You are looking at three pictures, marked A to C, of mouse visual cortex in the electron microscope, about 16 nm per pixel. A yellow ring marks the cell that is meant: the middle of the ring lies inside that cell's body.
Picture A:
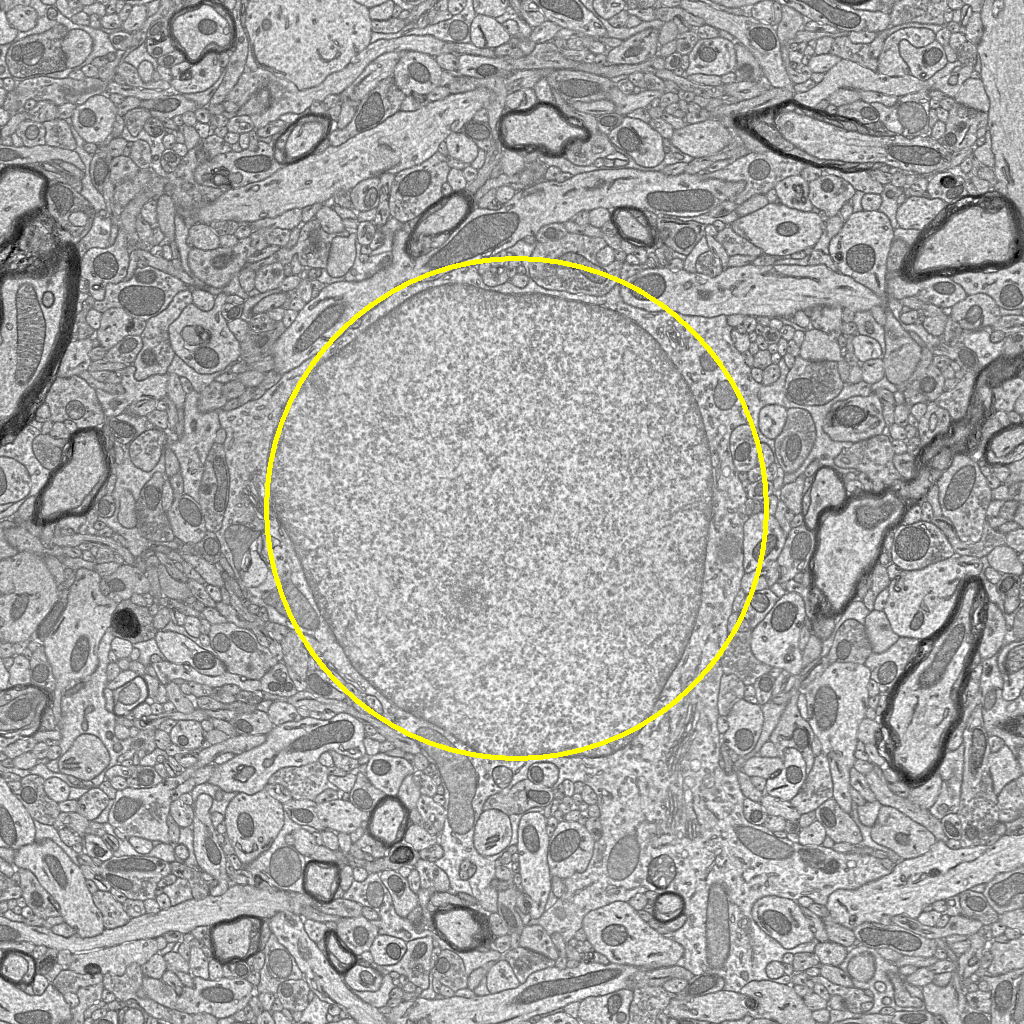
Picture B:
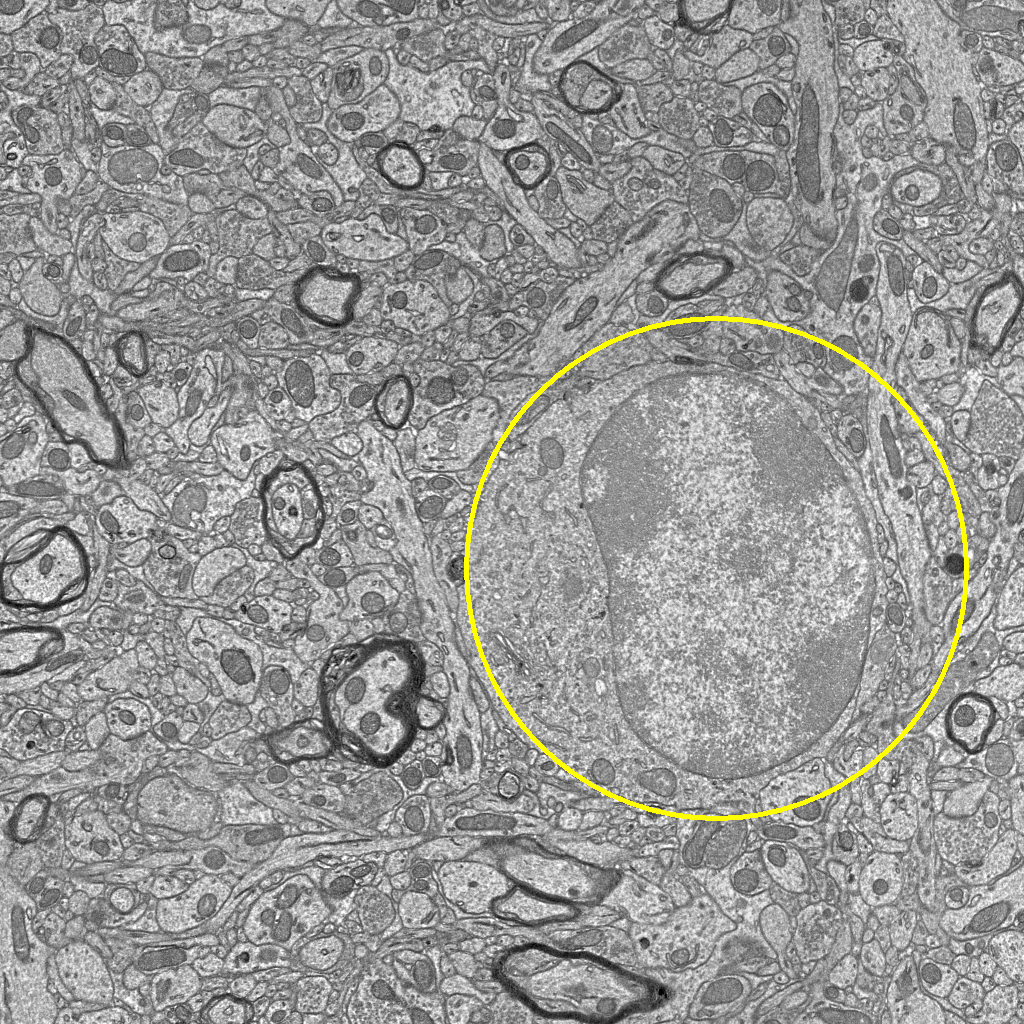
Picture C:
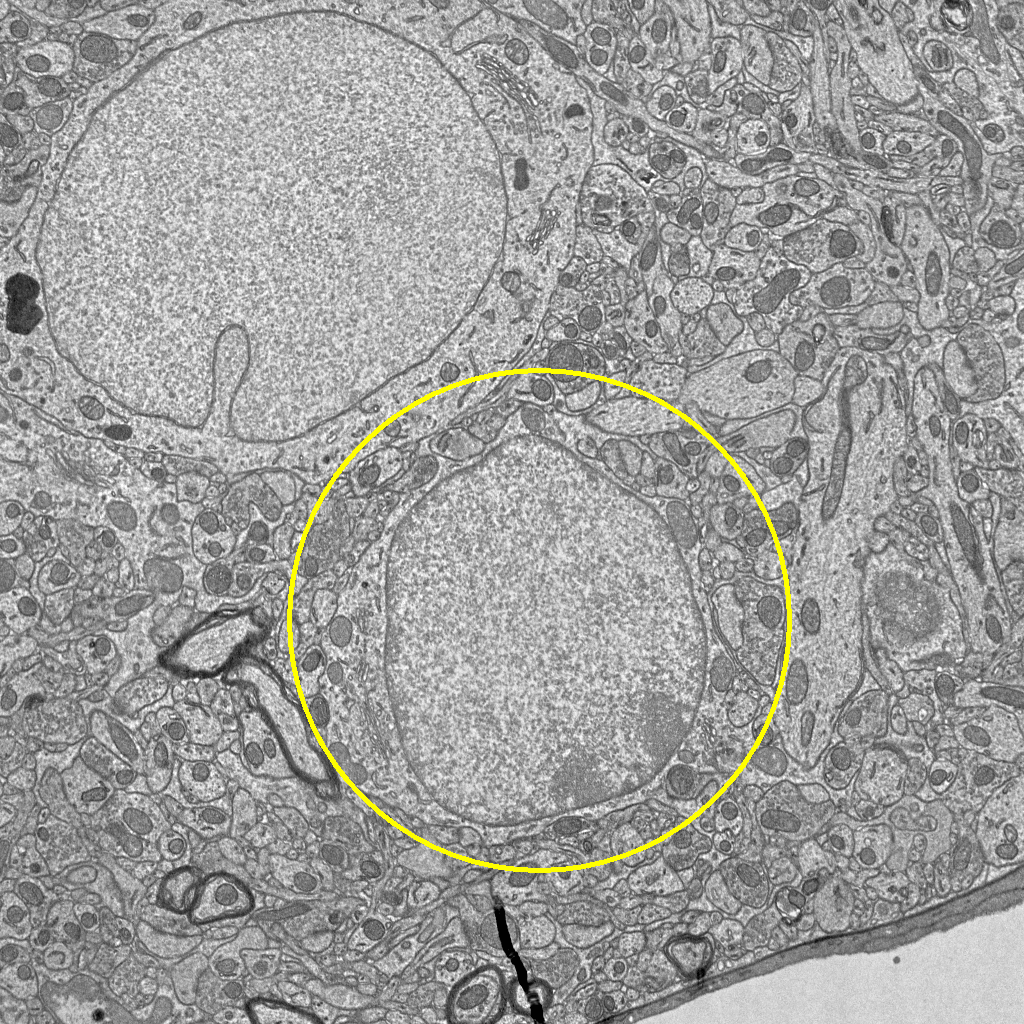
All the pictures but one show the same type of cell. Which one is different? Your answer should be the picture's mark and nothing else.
B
